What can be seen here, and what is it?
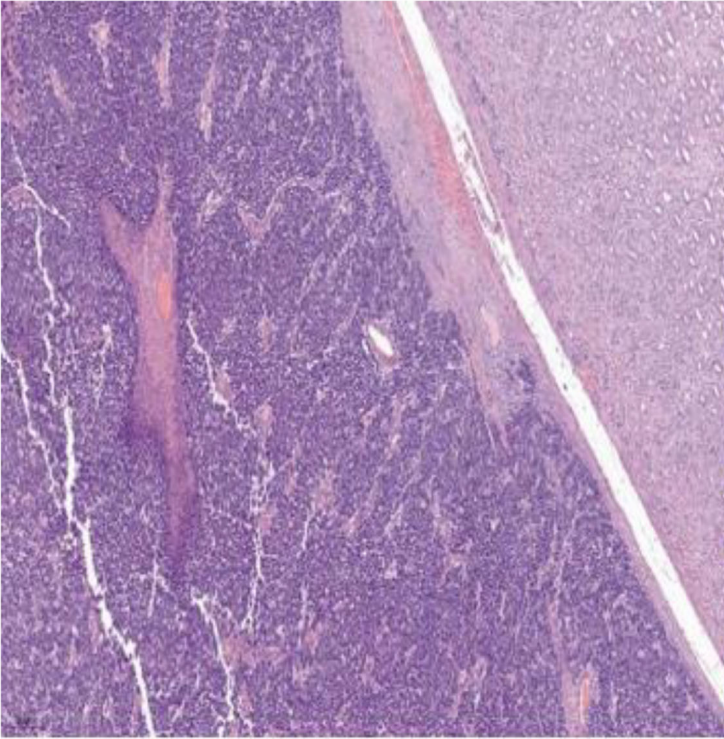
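This low-power view shows a tumor made of sheets and clusters of small round blue cells. The dark blue-purple cells fill most of the field in a dense, uniform pattern, broken by thin pink fibrovascular septa and small vessels. There is an elongated pink band of stroma in the left part of the field. White clefts run through the tissue where the cell sheets have pulled apart. On the right, a pink fibrous band and a white cleft separate the tumor from a paler, pink, less cellular tissue.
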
